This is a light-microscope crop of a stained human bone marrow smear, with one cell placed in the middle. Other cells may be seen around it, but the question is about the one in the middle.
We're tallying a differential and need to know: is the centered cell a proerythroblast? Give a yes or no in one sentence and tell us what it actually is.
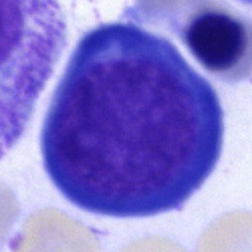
Yes, a proerythroblast is present in the middle of the crop.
